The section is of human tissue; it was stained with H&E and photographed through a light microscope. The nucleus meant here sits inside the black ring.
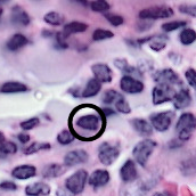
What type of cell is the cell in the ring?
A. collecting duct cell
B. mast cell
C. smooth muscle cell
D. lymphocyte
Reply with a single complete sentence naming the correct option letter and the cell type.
Since the cell in the ring is a lymphocyte, option D is correct.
